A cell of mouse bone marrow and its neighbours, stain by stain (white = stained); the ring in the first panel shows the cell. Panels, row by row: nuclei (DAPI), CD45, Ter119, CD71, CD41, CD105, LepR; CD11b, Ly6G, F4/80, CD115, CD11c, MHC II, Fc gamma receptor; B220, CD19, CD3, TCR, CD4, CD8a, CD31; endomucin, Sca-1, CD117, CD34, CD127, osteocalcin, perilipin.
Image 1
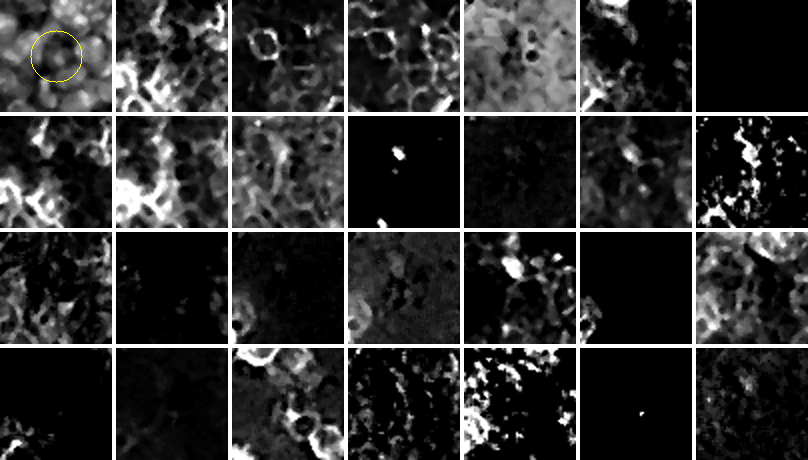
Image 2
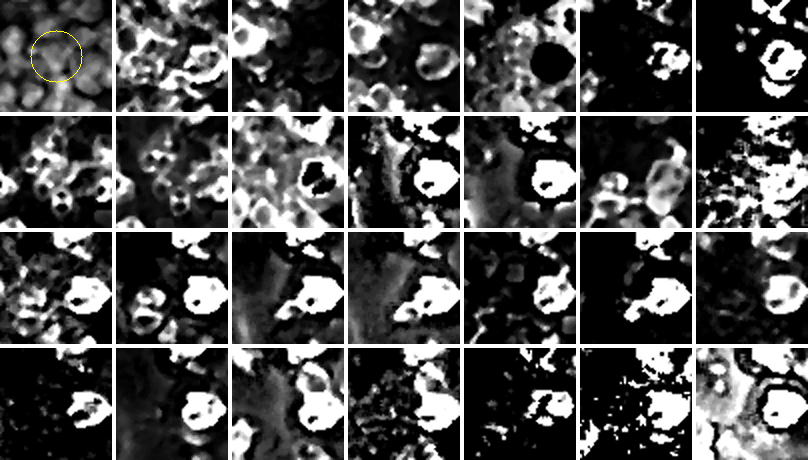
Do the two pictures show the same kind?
Yes, both are megakaryocyte progenitors.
